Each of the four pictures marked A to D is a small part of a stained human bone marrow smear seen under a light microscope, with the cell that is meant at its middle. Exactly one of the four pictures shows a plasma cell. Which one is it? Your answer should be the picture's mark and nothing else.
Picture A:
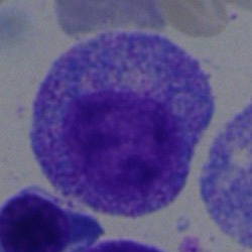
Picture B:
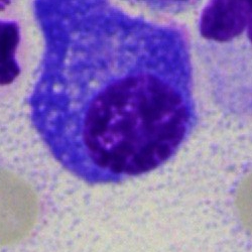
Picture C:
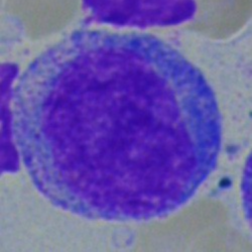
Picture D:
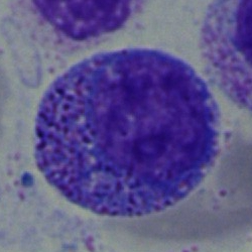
B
